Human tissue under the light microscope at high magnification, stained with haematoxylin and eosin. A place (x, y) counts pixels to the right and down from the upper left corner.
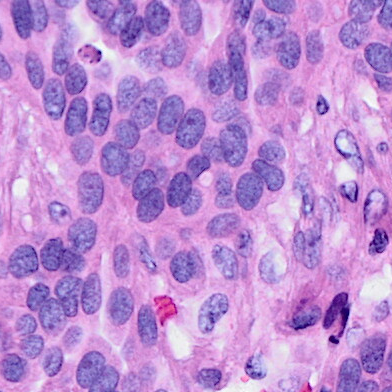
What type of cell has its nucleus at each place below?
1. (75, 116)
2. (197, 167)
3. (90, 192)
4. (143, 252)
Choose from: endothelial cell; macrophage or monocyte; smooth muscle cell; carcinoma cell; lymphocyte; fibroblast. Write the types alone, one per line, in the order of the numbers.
carcinoma cell
carcinoma cell
carcinoma cell
fibroblast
